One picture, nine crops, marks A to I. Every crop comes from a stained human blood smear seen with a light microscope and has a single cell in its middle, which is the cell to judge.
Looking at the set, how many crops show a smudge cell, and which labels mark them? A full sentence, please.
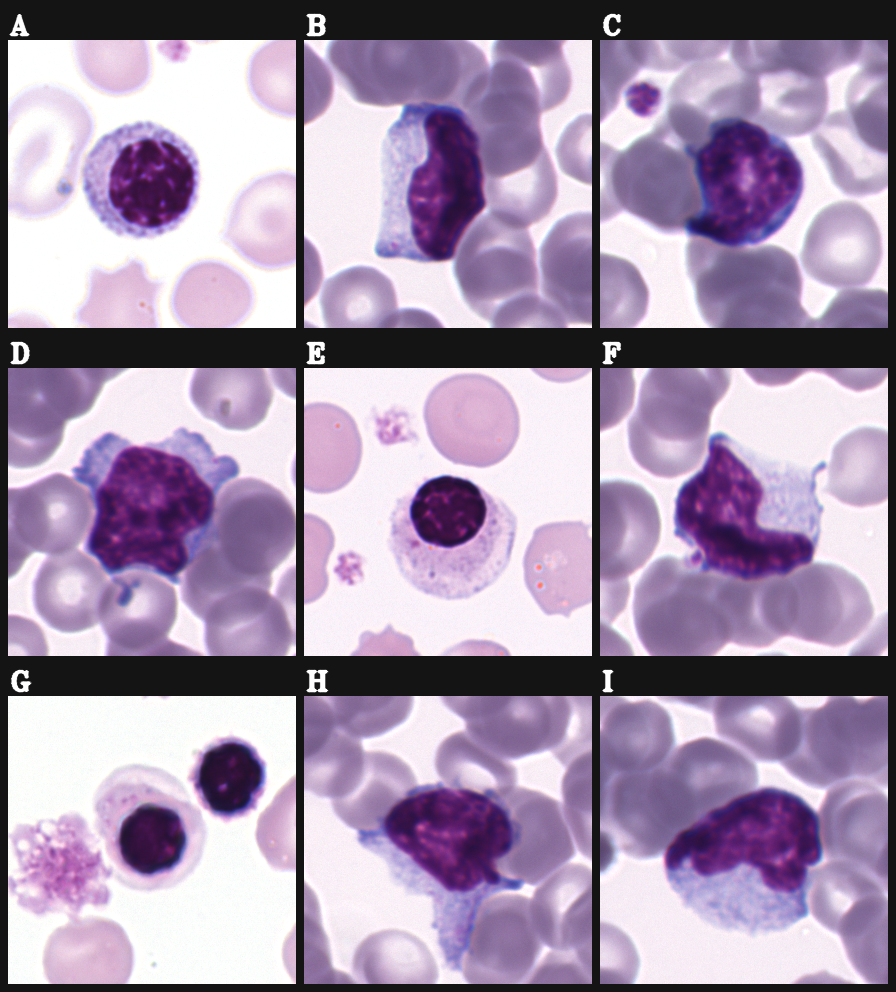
The crops include no smudge cells, so their count is zero.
